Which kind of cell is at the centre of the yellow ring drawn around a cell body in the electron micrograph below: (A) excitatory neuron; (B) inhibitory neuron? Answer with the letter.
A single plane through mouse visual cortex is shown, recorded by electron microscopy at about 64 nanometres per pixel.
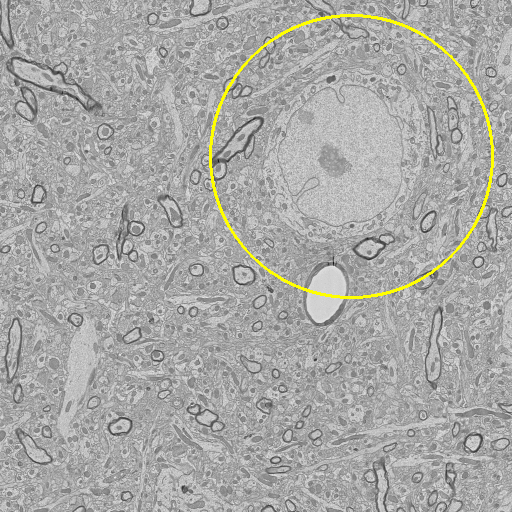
B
